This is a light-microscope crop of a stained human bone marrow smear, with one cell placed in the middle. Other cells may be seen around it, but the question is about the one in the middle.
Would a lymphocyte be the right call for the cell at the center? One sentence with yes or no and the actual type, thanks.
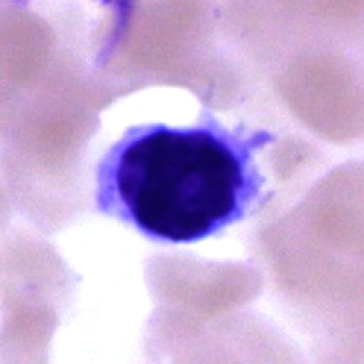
Yes, in the middle of the crop is a lymphocyte.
